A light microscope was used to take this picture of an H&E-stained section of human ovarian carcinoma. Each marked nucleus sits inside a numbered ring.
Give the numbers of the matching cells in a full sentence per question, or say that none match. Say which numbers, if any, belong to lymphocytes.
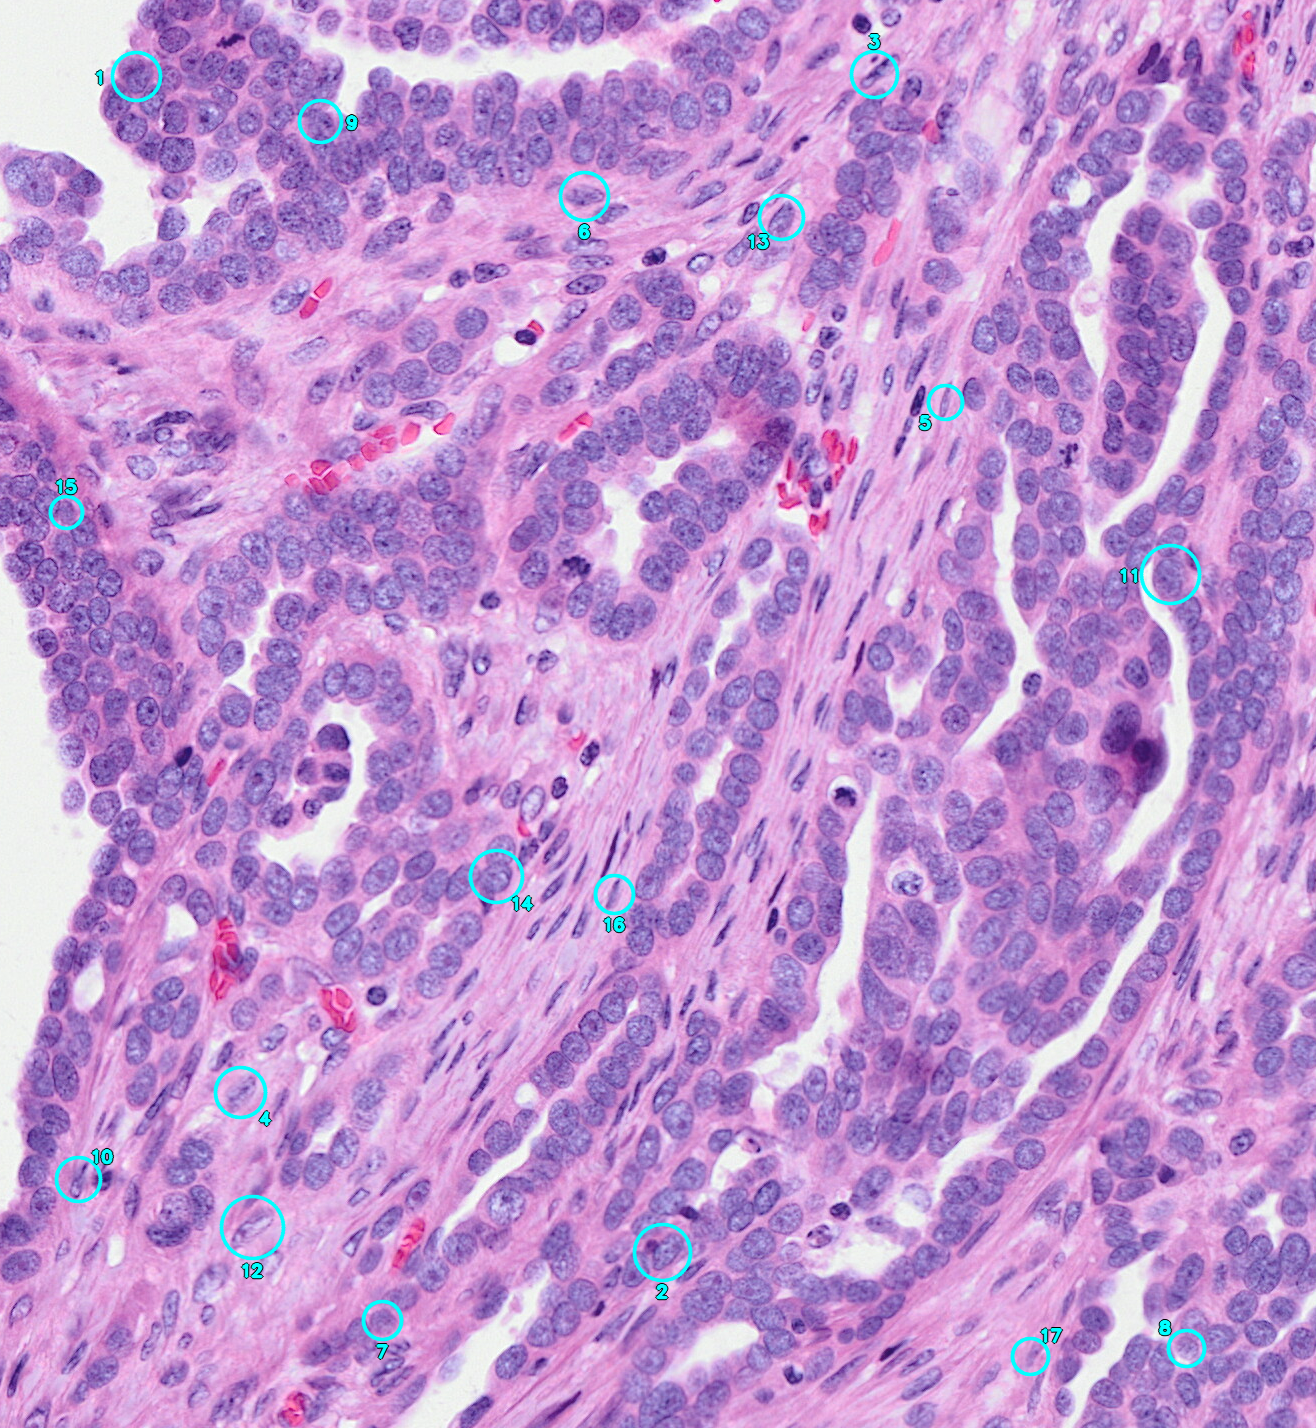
The group of numbered cells contains no lymphocytes.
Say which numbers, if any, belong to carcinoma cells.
The numbers 1, 2, 7, 8, 9, 11, 14 and 15 refer to cells that are carcinoma cells.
